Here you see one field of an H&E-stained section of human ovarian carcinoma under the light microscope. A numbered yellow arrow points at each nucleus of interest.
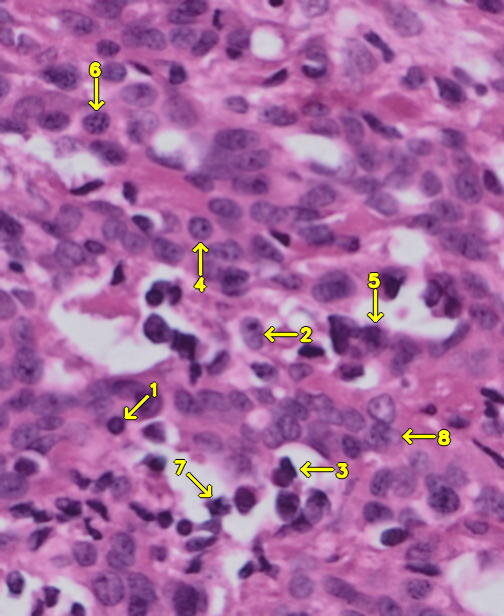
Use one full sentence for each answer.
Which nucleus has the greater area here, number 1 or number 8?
Number 8 is larger; its area is about 2 times that of number 1.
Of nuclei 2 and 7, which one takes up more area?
Number 2 is larger; its area is about 1.5 times that of number 7.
